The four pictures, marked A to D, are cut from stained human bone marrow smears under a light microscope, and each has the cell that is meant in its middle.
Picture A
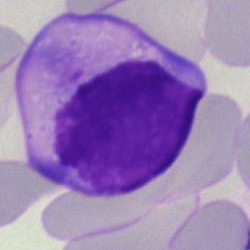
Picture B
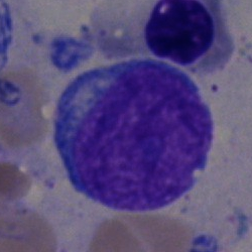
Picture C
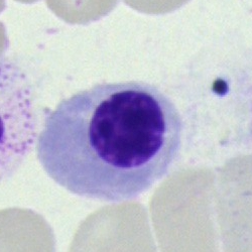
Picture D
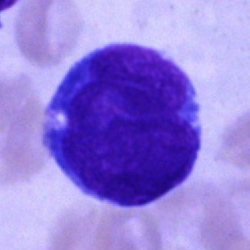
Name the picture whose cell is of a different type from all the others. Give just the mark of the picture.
C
